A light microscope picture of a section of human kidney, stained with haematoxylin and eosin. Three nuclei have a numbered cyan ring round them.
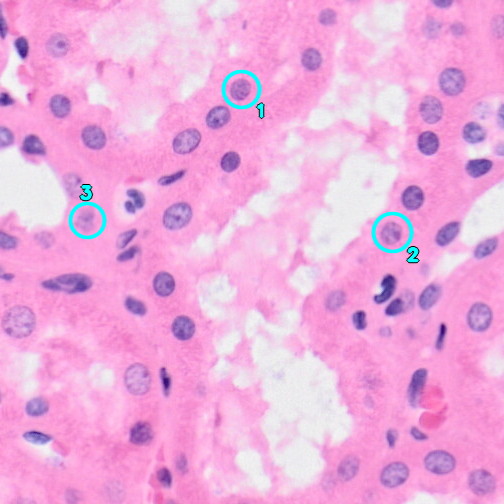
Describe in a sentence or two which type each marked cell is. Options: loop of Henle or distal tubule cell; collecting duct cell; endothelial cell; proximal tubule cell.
Cell 1 is a proximal tubule cell, cell 2 is a proximal tubule cell and cell 3 is a loop of Henle or distal tubule cell.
